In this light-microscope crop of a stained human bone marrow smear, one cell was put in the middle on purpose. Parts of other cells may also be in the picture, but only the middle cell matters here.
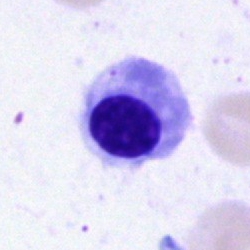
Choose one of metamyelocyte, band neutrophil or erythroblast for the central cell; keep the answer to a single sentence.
Within this crop, an erythroblast occupies the central position.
